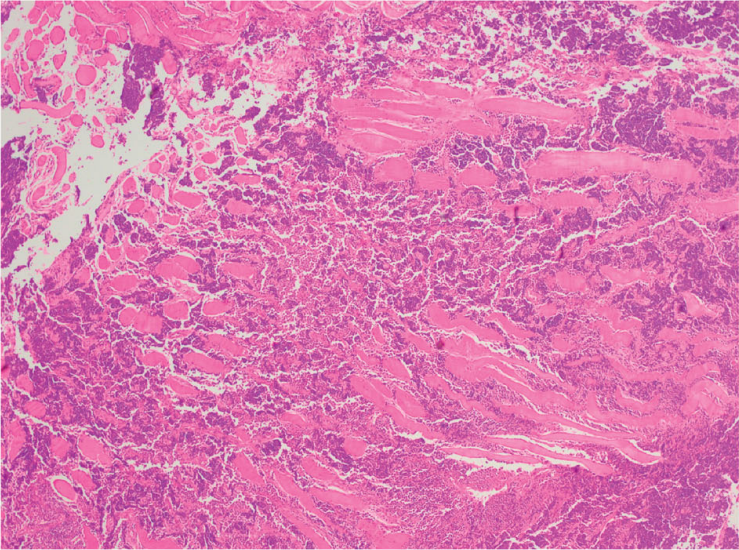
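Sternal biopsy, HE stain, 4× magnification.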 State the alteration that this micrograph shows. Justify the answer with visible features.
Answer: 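Tumour cell infiltration between muscle fibres. Pink elongated and cross-cut bundles of skeletal muscle fibres run through the field. Dense purple sheets of small cells fill the spaces between and around the muscle fibres.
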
